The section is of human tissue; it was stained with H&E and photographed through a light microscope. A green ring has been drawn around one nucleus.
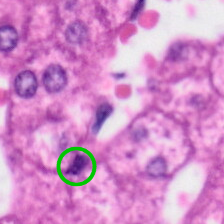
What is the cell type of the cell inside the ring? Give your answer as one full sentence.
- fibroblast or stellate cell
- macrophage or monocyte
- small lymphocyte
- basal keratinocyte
For cell typing purposes, the cell inside the ring is a fibroblast or stellate cell.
